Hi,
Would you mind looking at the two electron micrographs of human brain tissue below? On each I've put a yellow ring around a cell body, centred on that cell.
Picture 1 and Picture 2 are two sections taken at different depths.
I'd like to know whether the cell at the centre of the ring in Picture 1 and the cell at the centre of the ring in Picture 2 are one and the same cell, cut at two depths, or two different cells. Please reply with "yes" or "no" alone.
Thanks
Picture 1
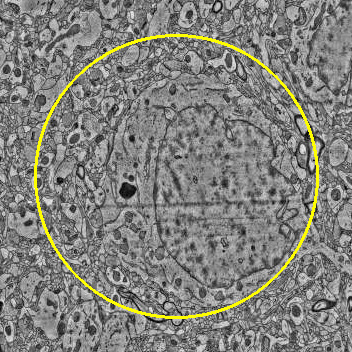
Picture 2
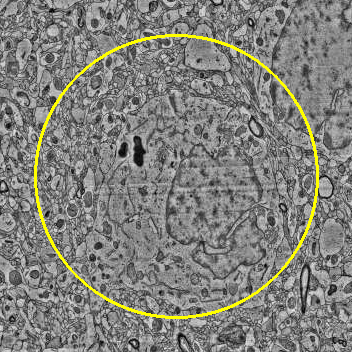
yes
